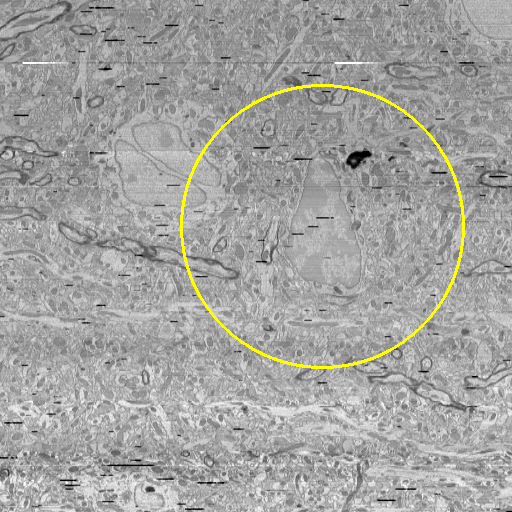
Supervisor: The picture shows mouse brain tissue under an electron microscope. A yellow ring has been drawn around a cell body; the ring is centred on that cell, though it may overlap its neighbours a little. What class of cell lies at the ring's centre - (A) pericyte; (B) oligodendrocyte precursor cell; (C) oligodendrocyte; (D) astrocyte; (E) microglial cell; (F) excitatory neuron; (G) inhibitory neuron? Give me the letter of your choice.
E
